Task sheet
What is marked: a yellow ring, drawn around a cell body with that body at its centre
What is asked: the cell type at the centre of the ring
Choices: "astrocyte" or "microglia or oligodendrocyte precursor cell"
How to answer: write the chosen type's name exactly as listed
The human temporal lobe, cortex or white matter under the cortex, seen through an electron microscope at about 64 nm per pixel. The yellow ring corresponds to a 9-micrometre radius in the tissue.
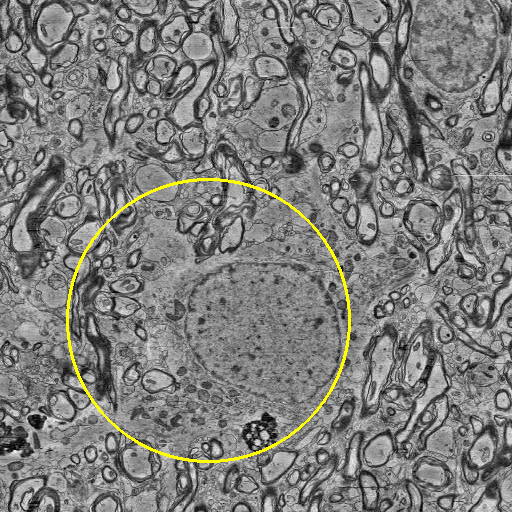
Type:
astrocyte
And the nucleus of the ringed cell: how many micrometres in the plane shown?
Approximately 11 by 9 micrometers in this plane.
